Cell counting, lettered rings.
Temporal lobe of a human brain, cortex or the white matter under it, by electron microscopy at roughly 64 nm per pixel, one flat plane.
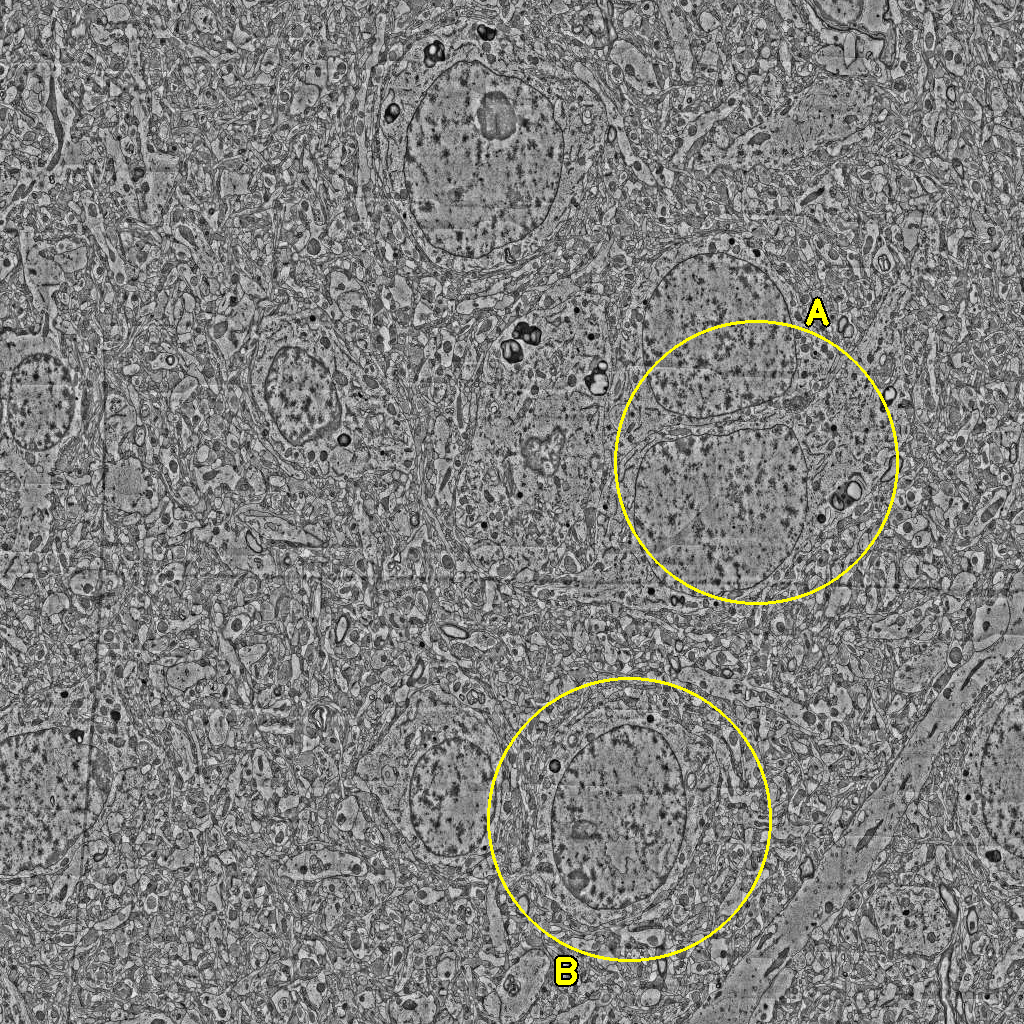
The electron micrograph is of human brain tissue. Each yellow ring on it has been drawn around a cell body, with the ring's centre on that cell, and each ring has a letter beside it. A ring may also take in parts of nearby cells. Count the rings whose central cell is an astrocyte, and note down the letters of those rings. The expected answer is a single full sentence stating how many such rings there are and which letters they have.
There are no rings here centred on an astrocyte, so the count is zero.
